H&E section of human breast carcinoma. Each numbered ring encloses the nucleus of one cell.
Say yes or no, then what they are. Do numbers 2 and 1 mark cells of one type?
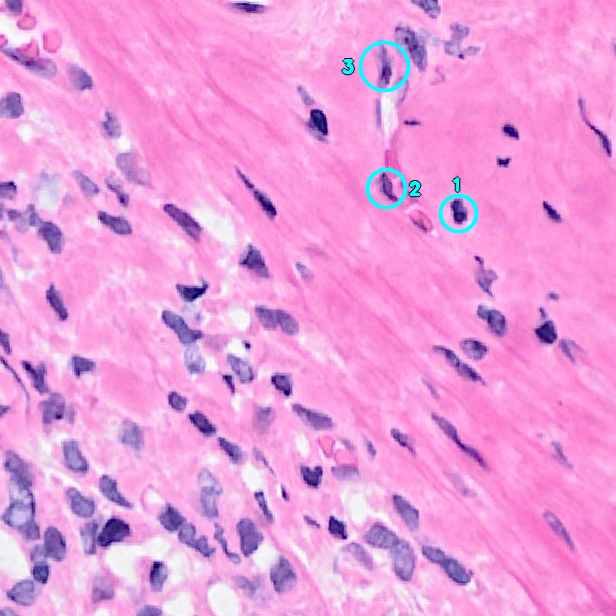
No, cell 2 here is an endothelial cell and cell 1 here is a lymphocyte.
